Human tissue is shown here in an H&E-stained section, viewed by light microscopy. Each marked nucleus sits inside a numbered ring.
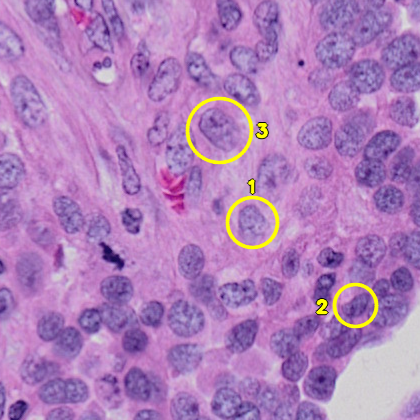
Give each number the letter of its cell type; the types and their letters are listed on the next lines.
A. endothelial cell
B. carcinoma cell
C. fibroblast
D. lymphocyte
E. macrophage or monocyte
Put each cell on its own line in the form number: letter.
1: C
2: B
3: C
